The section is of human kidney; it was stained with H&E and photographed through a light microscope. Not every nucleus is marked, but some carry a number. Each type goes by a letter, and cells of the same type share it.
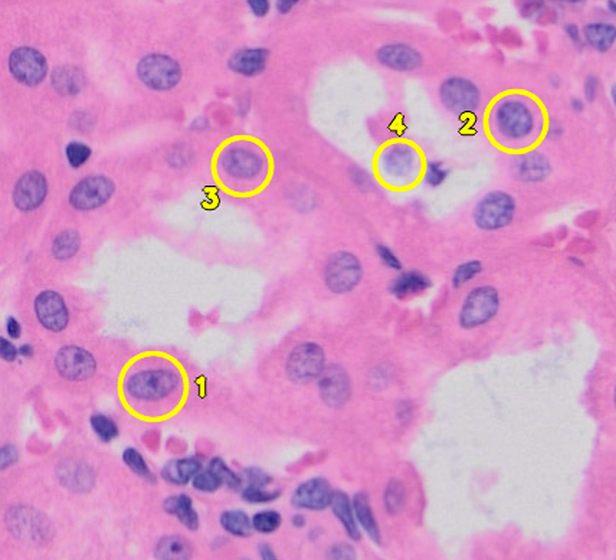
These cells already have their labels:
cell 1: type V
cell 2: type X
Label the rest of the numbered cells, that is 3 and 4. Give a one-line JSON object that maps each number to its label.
{"3": "type V", "4": "type X"}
